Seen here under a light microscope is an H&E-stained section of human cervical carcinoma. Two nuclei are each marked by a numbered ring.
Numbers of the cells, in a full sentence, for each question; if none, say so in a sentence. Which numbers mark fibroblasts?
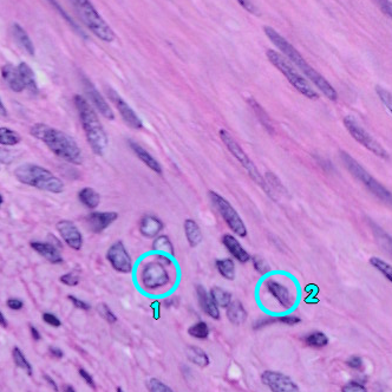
A single numbered cell, cell 2, is a fibroblast.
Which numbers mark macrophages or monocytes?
The numbered cells are all of types other than macrophages or monocytes.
